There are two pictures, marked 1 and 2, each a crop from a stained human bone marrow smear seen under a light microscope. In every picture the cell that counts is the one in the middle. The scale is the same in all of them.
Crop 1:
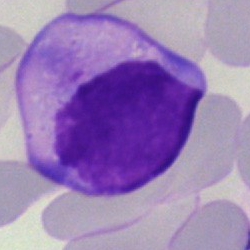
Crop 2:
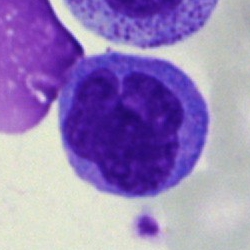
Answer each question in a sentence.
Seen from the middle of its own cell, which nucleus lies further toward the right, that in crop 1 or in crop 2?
In crop 1 the nucleus is shifted more toward the right.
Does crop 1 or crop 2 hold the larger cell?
The cell in crop 1 is larger, with about 1.5 times the area of the one in crop 2.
